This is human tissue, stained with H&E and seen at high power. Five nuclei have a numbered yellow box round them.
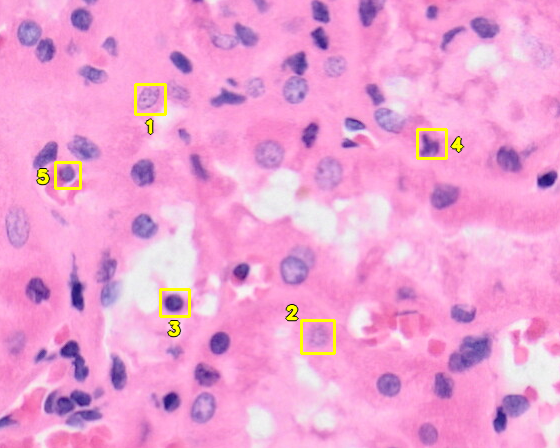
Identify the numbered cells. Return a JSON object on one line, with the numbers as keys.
{"1": "loop of Henle or distal tubule cell", "2": "proximal tubule cell", "3": "loop of Henle or distal tubule cell", "4": "proximal tubule cell", "5": "endothelial cell"}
